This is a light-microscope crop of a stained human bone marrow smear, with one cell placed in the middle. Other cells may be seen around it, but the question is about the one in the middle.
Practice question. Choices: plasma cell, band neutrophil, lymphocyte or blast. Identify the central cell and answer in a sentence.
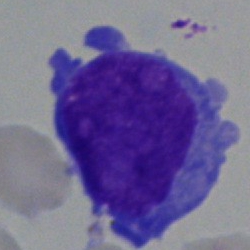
The cell at the middle of the frame should be recorded as a blast.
